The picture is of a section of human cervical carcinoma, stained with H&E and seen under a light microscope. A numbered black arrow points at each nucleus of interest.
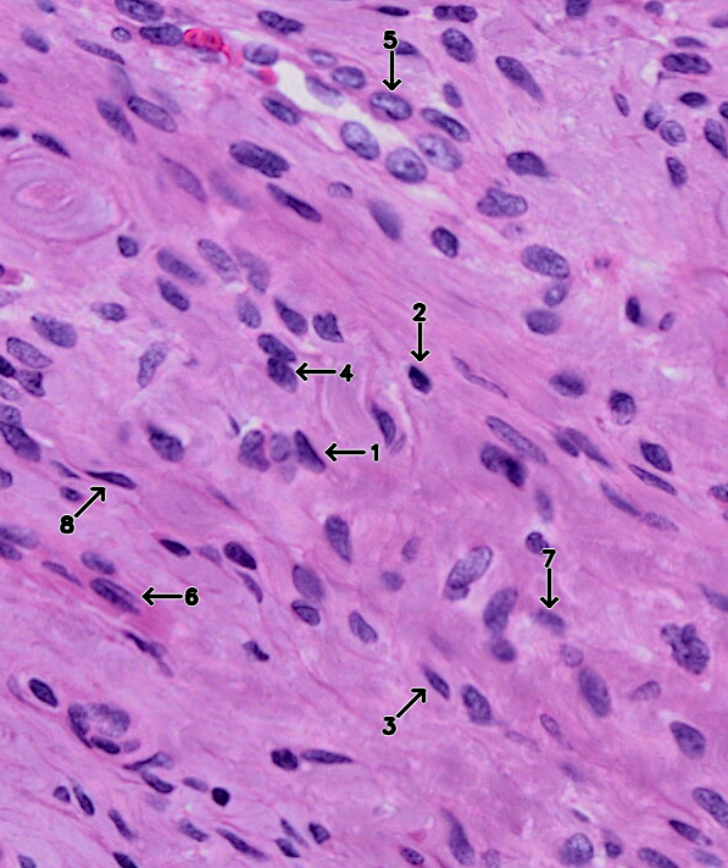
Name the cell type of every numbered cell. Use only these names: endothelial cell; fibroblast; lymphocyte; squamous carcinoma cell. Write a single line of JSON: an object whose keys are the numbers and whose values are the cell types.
{"1": "fibroblast", "2": "lymphocyte", "3": "fibroblast", "4": "fibroblast", "5": "endothelial cell", "6": "endothelial cell", "7": "fibroblast", "8": "fibroblast"}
